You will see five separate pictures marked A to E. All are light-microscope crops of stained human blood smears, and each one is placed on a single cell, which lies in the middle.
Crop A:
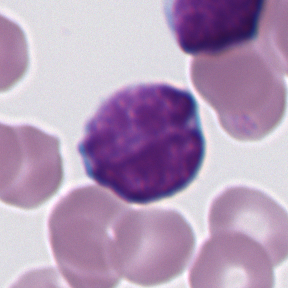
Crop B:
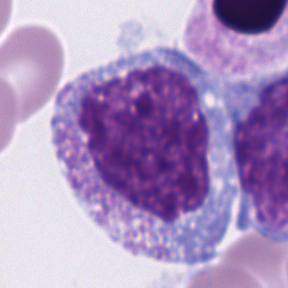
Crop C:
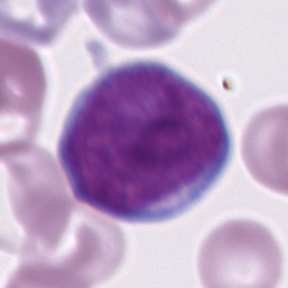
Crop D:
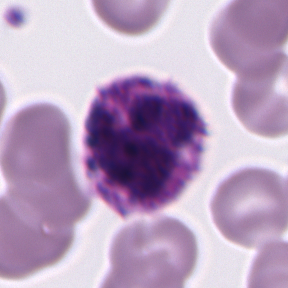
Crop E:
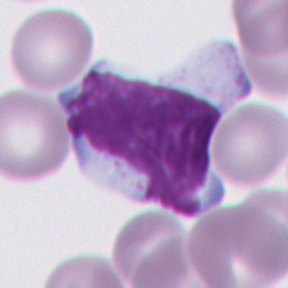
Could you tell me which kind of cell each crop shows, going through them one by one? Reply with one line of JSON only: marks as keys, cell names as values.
{"A": "typical lymphocyte", "B": "promyelocyte", "C": "blast", "D": "basophil", "E": "large granular lymphocyte"}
